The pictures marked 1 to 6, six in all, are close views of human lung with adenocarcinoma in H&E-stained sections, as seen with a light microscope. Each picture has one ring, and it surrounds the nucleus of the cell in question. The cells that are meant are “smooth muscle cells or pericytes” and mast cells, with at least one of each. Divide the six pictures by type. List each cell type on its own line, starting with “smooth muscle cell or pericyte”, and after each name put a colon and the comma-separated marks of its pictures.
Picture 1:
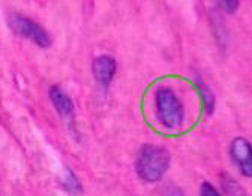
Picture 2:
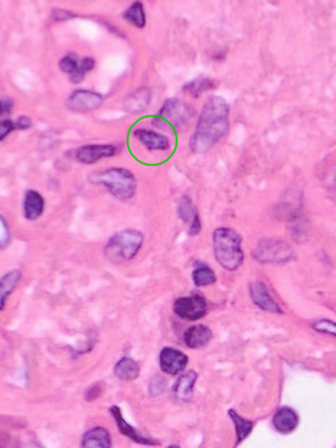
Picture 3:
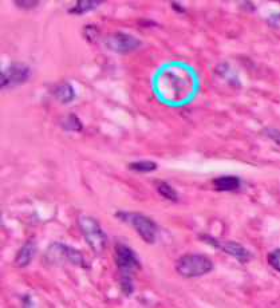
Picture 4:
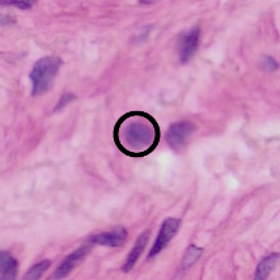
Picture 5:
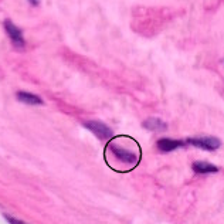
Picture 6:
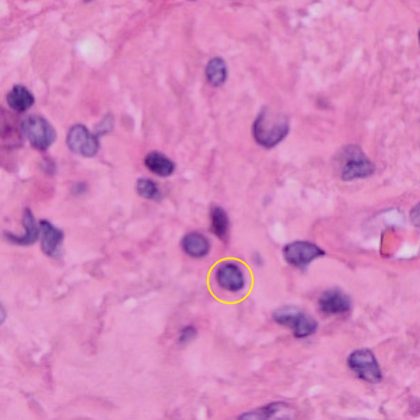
smooth muscle cell or pericyte: 1, 3, 4, 5
mast cell: 2, 6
